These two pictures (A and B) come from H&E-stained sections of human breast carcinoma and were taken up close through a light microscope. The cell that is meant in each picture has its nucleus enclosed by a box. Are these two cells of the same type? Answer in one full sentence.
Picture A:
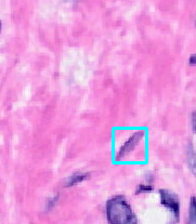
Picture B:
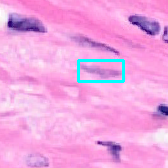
Yes, they are the same type: both are fibroblasts.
